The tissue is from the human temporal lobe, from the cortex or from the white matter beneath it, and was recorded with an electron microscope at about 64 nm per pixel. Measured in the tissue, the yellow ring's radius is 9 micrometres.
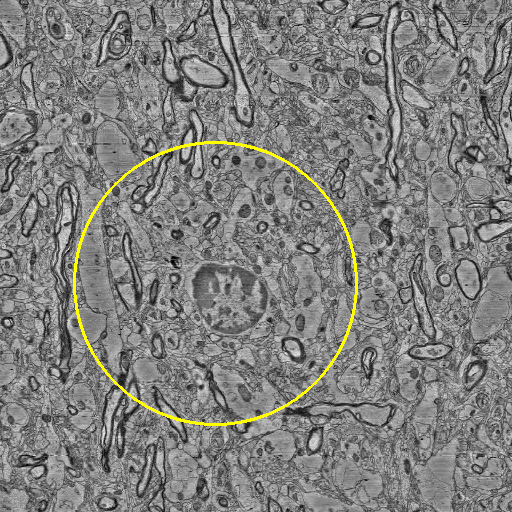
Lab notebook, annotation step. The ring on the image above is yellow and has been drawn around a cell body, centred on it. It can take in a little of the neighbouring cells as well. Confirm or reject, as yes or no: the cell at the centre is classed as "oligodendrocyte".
No, the cell is of another class.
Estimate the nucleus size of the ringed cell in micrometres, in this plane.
In this plane, approximately 5 micrometres across.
